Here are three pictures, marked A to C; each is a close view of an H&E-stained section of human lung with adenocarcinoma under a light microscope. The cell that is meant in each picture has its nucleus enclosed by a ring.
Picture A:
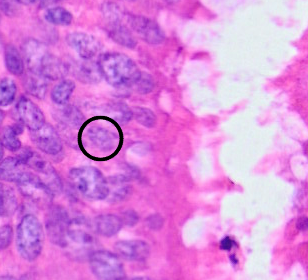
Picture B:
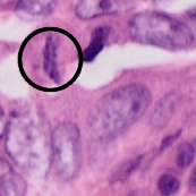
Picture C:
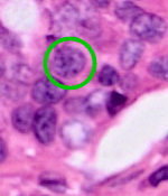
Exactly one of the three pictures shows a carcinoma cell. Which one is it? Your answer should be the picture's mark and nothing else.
B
